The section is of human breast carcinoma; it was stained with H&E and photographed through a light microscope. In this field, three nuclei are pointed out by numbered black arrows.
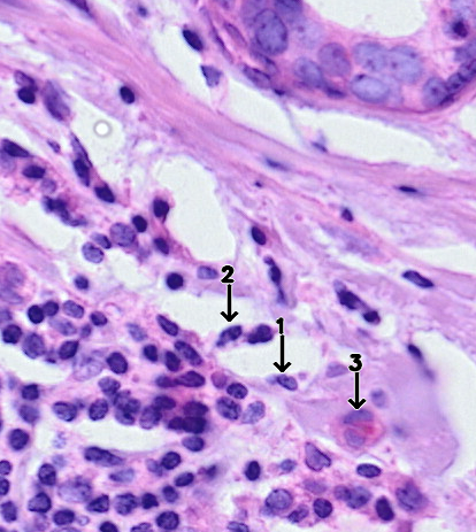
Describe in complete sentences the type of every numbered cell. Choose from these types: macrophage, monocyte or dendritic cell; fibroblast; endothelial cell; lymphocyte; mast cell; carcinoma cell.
Cell 1 is a lymphocyte, cell 2 is a lymphocyte and cell 3 is an endothelial cell.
